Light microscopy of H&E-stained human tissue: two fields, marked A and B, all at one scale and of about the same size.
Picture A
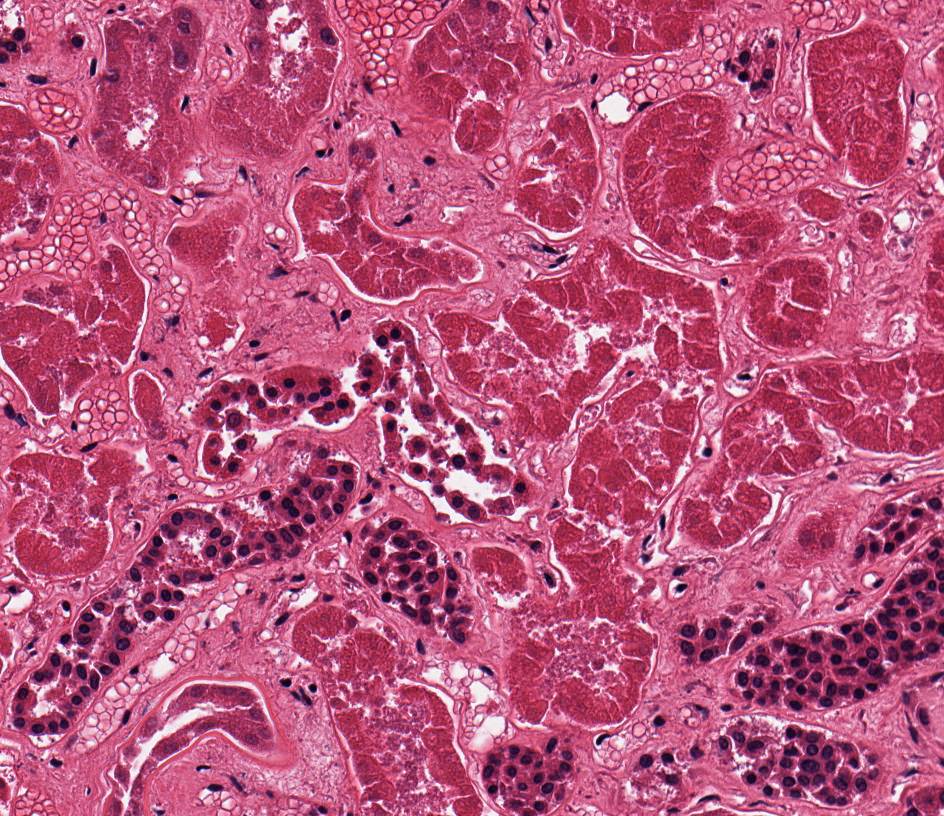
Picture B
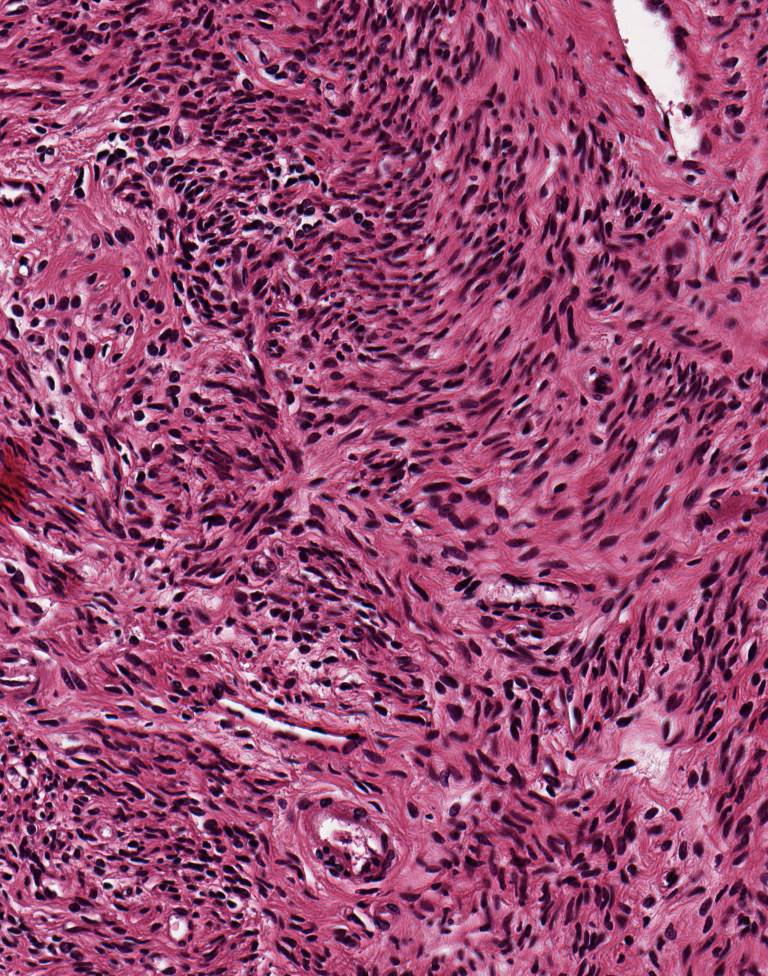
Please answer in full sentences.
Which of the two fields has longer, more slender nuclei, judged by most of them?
Longer, more slender nuclei lie in picture B.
